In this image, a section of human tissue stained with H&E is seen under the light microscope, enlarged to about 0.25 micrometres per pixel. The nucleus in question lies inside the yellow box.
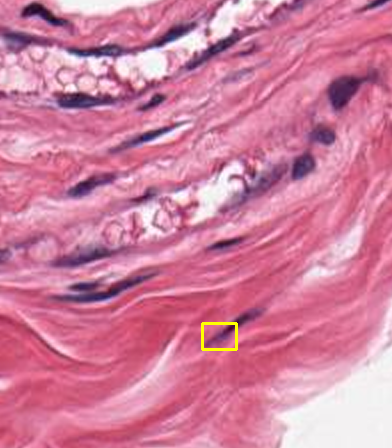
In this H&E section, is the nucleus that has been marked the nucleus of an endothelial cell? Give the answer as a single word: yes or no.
no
